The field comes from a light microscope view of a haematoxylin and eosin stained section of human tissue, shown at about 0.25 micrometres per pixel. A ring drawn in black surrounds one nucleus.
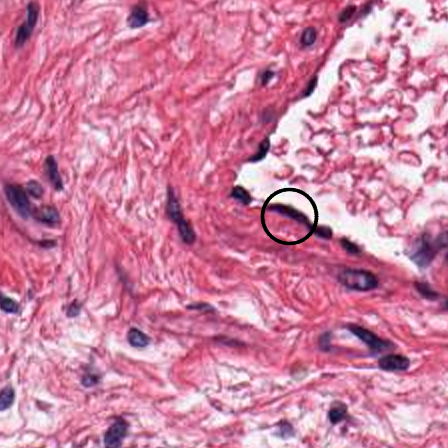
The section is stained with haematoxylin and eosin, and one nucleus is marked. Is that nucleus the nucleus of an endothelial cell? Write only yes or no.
yes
